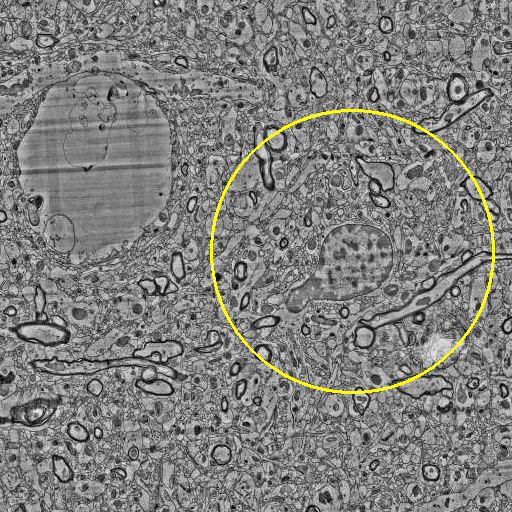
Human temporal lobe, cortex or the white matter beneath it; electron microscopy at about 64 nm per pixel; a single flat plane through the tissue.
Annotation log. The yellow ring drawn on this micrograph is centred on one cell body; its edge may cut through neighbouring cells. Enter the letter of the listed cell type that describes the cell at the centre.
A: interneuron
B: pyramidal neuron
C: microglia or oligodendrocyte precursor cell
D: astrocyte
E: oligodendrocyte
C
